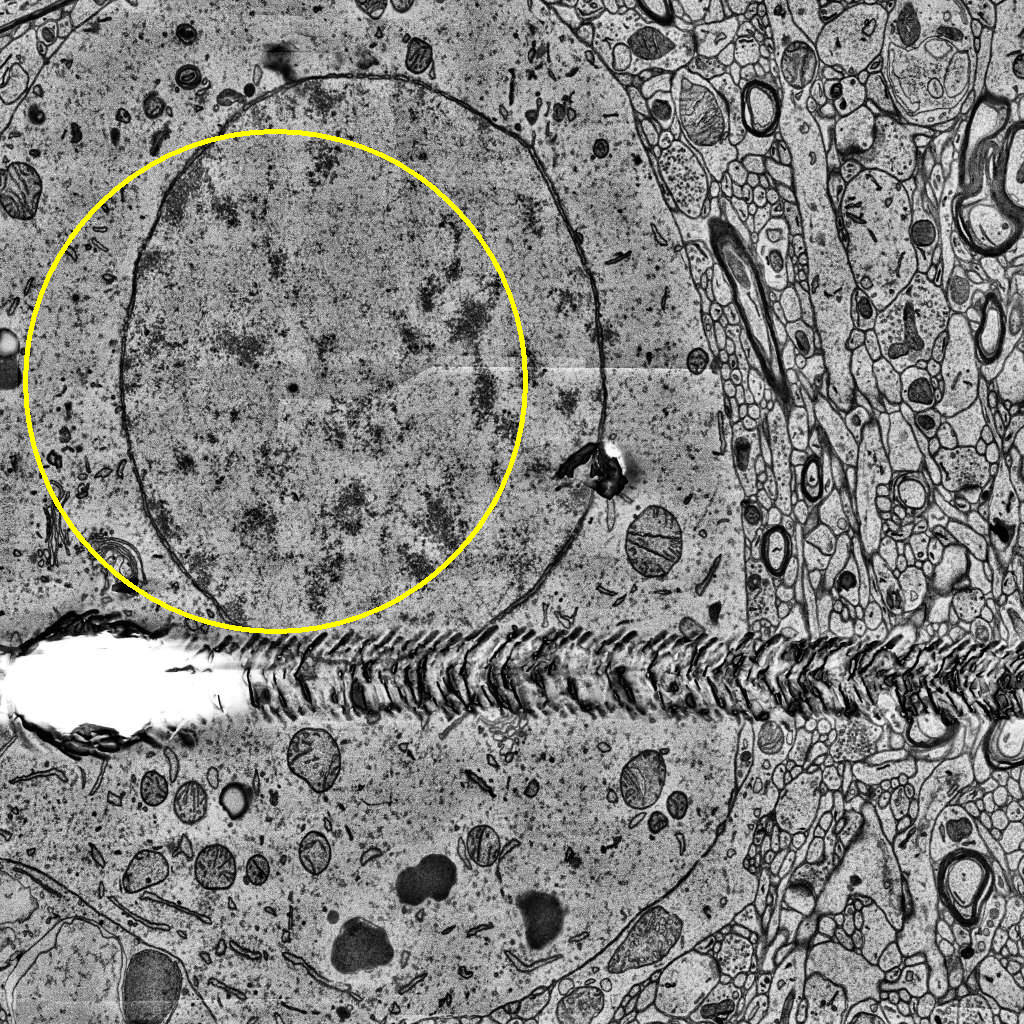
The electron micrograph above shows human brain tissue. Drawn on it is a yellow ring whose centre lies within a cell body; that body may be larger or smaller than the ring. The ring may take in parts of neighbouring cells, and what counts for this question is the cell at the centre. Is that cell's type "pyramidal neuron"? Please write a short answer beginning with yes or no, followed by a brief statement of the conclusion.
Yes, its type is the one named.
